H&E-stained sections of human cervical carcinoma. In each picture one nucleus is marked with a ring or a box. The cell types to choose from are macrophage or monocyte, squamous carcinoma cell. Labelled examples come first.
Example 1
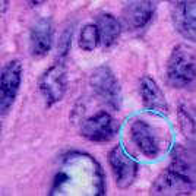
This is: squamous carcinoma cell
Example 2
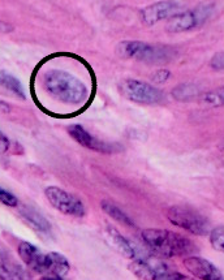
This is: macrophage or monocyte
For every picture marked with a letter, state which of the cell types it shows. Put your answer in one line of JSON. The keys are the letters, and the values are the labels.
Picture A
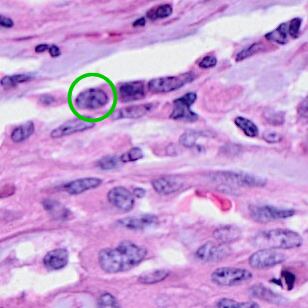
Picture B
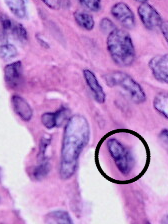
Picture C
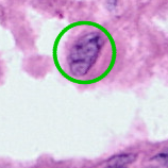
{"A": "macrophage or monocyte", "B": "squamous carcinoma cell", "C": "squamous carcinoma cell"}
